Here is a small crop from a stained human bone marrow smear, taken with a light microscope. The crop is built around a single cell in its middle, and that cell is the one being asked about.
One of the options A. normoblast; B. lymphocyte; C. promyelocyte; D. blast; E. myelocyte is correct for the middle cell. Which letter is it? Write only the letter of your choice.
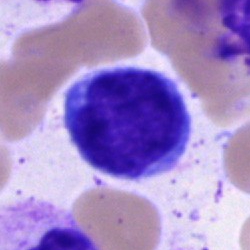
B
